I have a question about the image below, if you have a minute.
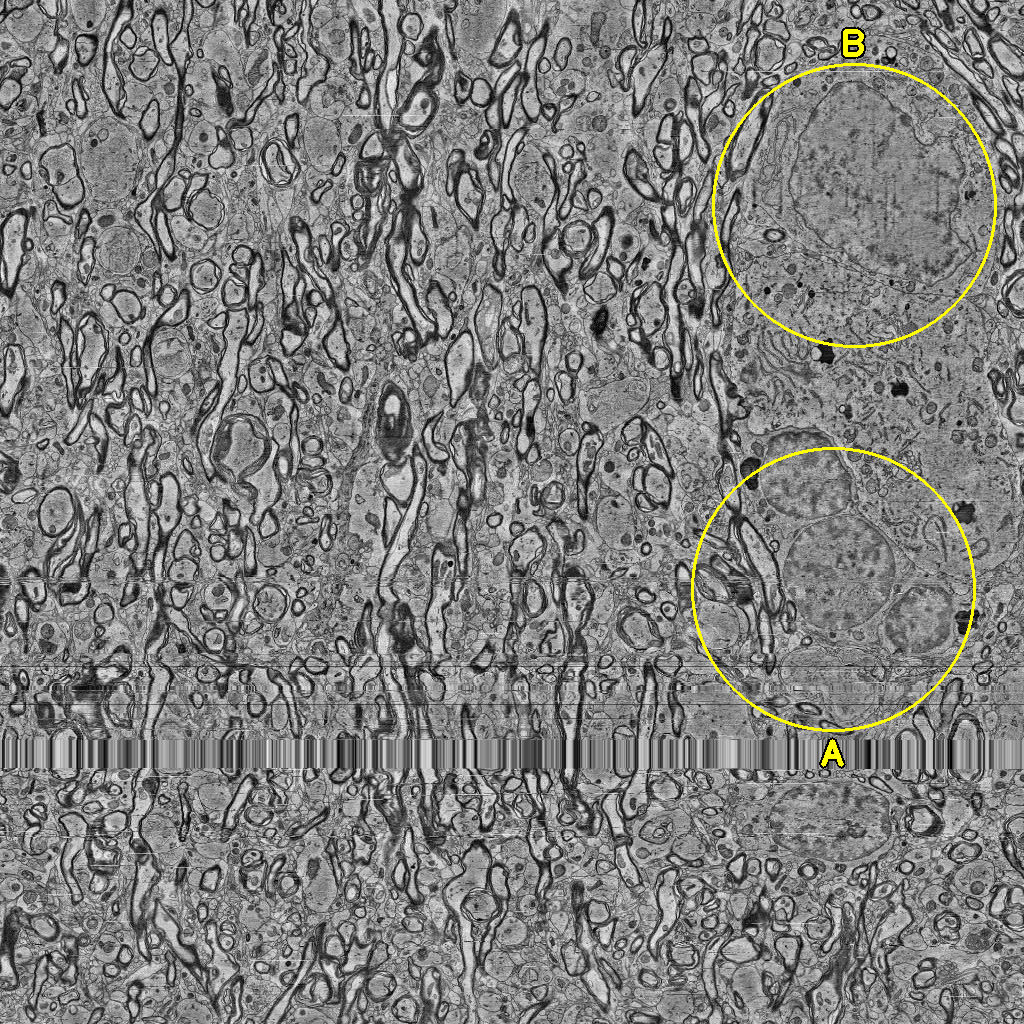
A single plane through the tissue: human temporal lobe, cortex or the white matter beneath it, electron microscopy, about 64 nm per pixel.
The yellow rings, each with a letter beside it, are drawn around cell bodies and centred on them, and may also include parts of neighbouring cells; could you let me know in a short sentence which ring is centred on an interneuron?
Ring B is centred on it.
